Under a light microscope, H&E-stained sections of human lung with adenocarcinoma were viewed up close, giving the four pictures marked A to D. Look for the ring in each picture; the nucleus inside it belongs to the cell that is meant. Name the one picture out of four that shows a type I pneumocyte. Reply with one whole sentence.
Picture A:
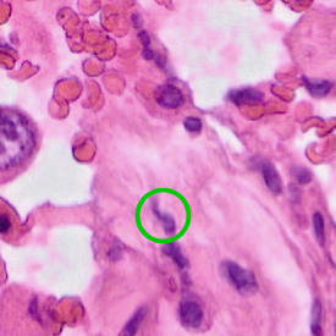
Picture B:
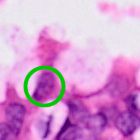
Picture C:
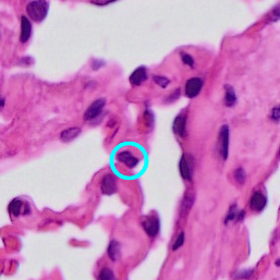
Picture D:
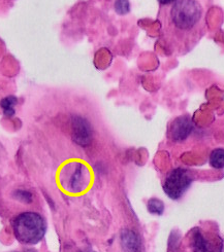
The type I pneumocyte is the one in picture C.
